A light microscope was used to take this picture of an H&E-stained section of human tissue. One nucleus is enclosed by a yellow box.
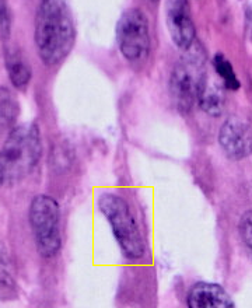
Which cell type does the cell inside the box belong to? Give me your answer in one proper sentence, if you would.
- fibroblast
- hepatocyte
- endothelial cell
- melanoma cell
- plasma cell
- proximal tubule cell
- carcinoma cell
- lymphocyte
The category to which the cell inside the box belongs is that of a melanoma cell.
